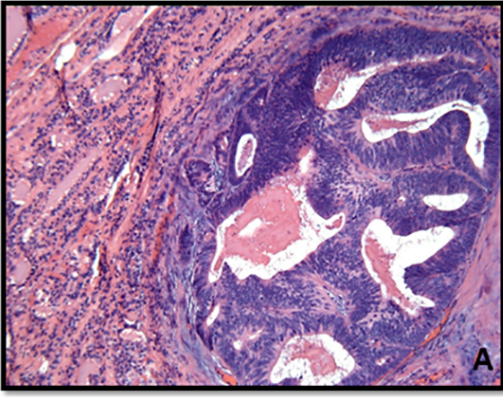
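The tumor forms a large rounded nest of crowded, darkly staining tall columnar cells with elongated, stratified nuclei. These cells line several irregular glandular spaces, some of which contain pink material. Around the nest lies a rim of compressed fibrous stroma, and beyond it to the left are small thyroid follicles filled with pink colloid. The contrast between the dense purple tumor epithelium and the paler follicular thyroid tissue is striking.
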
